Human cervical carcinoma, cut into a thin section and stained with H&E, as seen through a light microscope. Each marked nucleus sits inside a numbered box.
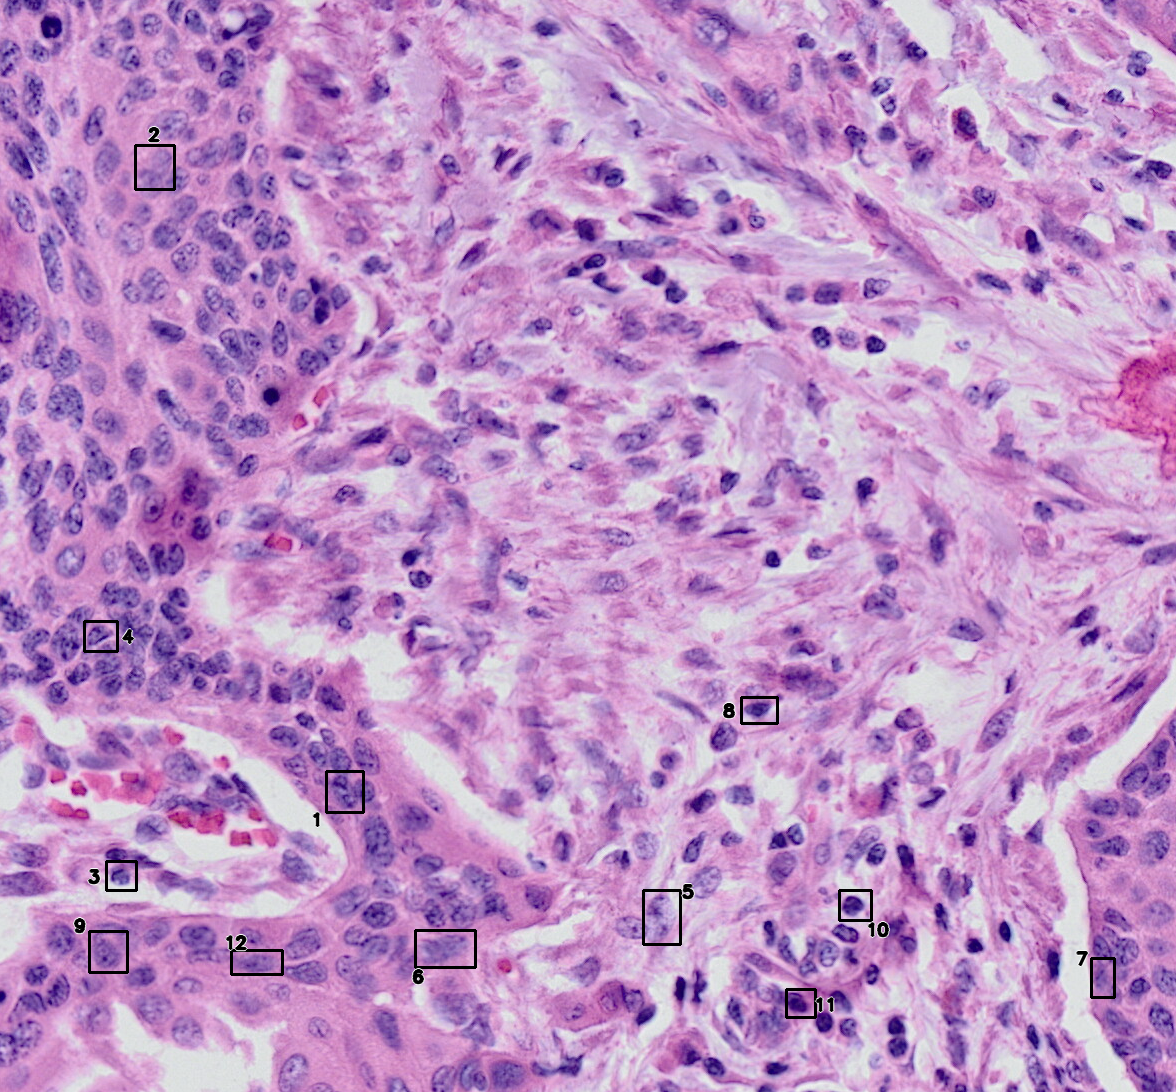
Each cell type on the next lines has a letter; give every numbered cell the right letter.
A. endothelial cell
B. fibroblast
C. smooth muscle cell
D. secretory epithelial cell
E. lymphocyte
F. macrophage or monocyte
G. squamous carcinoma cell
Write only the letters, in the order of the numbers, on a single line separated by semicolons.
G; G; E; G; B; G; G; E; G; E; E; G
